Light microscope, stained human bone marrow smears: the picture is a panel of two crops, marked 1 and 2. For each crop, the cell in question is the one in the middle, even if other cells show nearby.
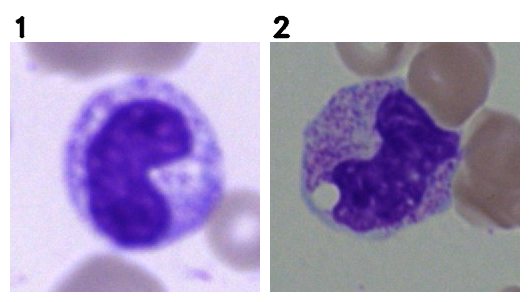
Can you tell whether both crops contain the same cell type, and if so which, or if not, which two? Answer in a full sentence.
Yes, both crops show metamyelocytes at their middles.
